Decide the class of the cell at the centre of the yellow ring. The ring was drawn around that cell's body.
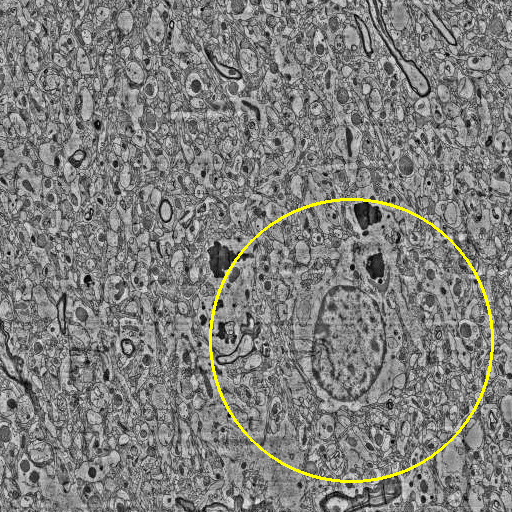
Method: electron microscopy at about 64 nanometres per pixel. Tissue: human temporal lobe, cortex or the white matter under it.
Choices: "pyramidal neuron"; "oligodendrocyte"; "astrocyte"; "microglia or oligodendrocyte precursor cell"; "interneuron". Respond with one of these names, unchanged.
astrocyte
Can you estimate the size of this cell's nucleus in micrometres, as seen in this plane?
Roughly 7 by 5 micrometres; in this plane, clearly longer than it is wide.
